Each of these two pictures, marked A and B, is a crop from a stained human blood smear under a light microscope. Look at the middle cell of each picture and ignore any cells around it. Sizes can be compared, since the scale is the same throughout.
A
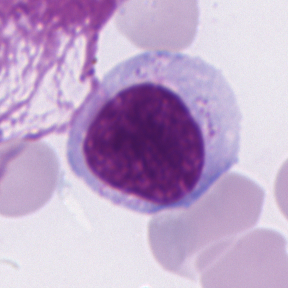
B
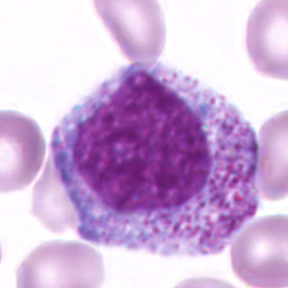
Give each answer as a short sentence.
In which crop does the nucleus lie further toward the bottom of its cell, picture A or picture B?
In picture A the nucleus is shifted more toward the bottom.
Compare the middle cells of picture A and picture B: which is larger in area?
Larger is the cell in picture B, at roughly 1.5 times the area of the other.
